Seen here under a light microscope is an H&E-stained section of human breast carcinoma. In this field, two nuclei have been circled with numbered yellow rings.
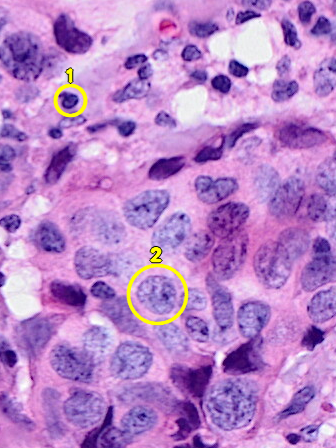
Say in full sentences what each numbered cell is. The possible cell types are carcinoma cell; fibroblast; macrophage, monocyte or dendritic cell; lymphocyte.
Cell 1 is a lymphocyte. Cell 2 is a carcinoma cell.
